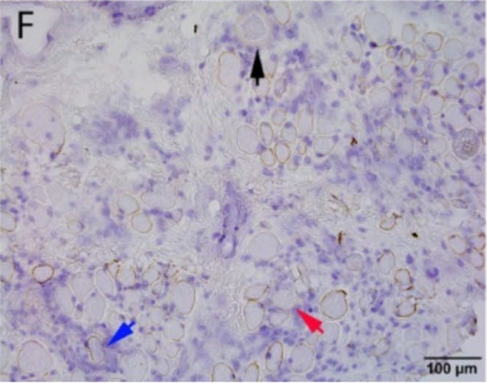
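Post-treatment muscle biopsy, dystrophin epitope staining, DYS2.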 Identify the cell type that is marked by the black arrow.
Myofibers.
